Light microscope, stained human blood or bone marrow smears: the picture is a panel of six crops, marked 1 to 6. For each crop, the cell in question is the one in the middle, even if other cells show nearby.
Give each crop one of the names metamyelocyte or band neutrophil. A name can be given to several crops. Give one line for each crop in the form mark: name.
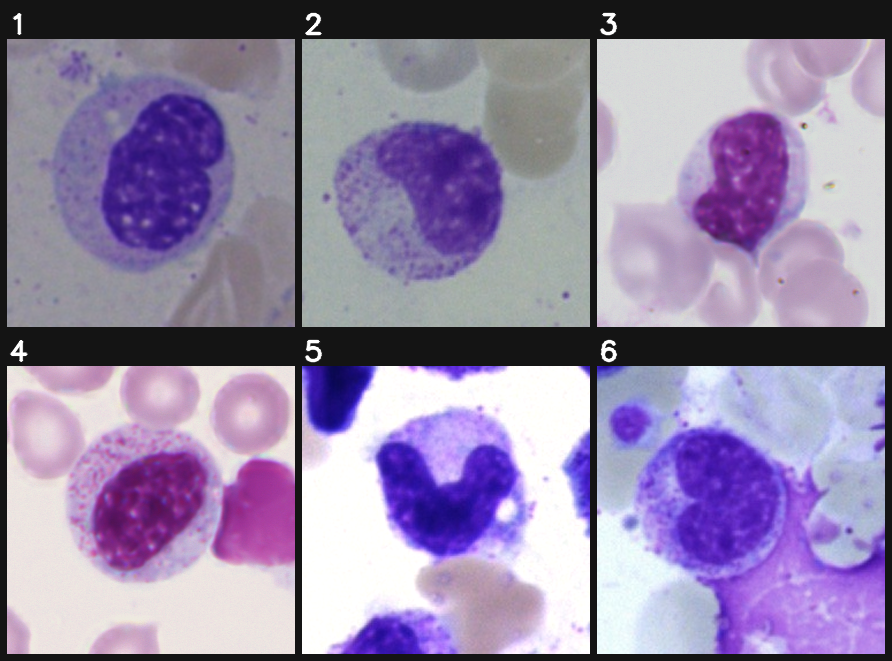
1: metamyelocyte
2: metamyelocyte
3: metamyelocyte
4: metamyelocyte
5: band neutrophil
6: metamyelocyte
